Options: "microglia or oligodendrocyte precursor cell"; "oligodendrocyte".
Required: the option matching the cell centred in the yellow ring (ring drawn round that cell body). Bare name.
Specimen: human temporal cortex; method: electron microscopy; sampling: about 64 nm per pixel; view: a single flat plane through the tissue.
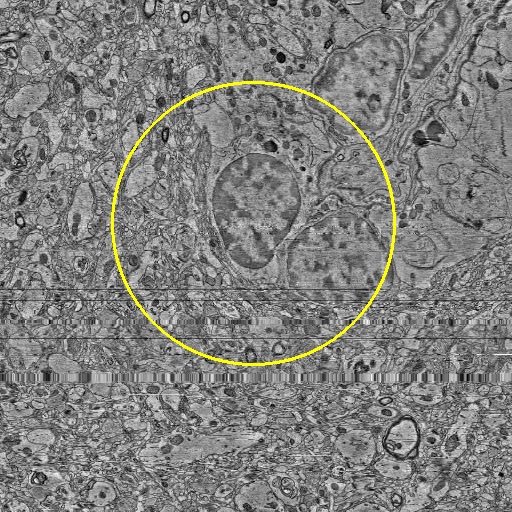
microglia or oligodendrocyte precursor cell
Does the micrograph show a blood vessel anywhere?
Yes, there is a blood vessel in the image.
